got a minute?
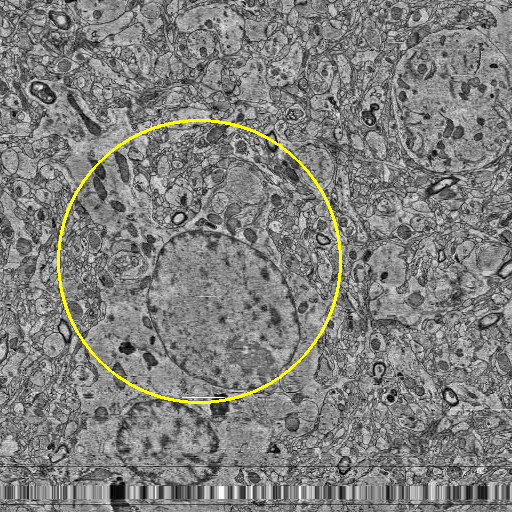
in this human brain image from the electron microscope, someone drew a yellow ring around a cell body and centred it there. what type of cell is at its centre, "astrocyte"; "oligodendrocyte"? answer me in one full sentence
It's an astrocyte at the middle of that yellow ring in the shot.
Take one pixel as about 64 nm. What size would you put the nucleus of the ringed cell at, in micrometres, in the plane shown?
In this plane, about 11 micrometres in length and 9 in width.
